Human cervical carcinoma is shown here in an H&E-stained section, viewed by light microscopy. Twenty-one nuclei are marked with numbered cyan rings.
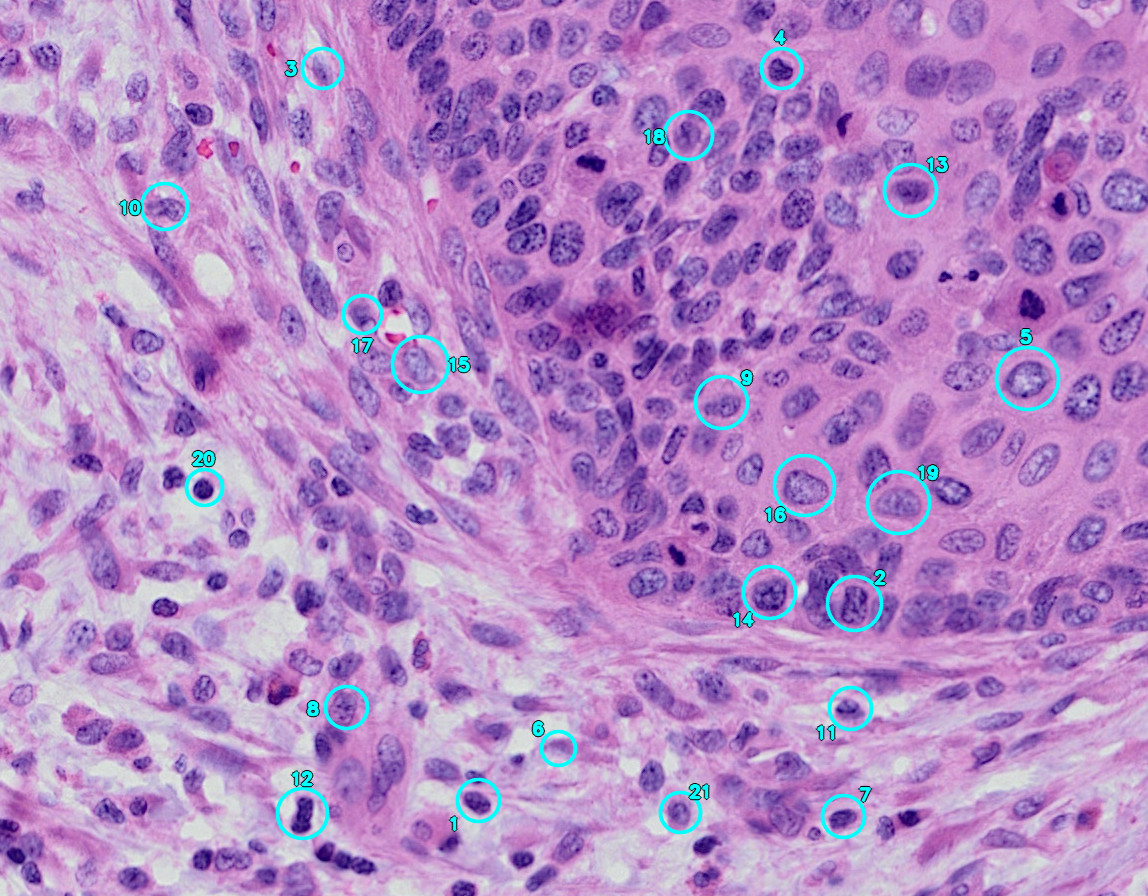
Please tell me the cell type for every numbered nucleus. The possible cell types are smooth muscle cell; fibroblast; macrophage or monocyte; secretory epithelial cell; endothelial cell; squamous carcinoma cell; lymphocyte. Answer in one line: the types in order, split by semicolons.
lymphocyte; squamous carcinoma cell; fibroblast; squamous carcinoma cell; squamous carcinoma cell; fibroblast; lymphocyte; endothelial cell; squamous carcinoma cell; macrophage or monocyte; lymphocyte; lymphocyte; squamous carcinoma cell; squamous carcinoma cell; endothelial cell; squamous carcinoma cell; endothelial cell; squamous carcinoma cell; squamous carcinoma cell; lymphocyte; macrophage or monocyte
